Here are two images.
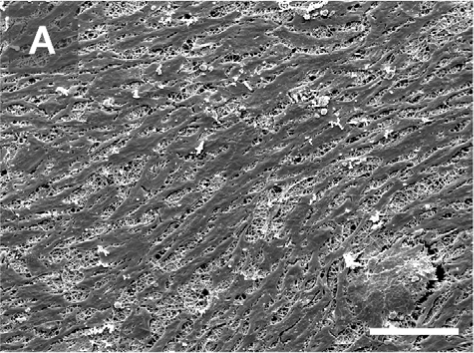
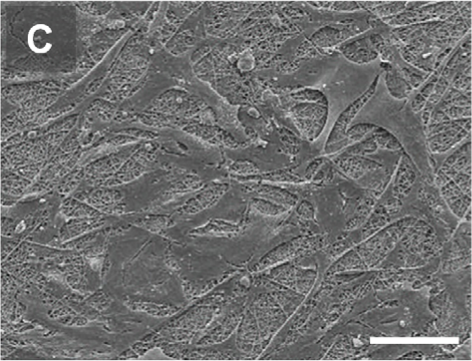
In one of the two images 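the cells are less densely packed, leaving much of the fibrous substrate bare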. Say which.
the second image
